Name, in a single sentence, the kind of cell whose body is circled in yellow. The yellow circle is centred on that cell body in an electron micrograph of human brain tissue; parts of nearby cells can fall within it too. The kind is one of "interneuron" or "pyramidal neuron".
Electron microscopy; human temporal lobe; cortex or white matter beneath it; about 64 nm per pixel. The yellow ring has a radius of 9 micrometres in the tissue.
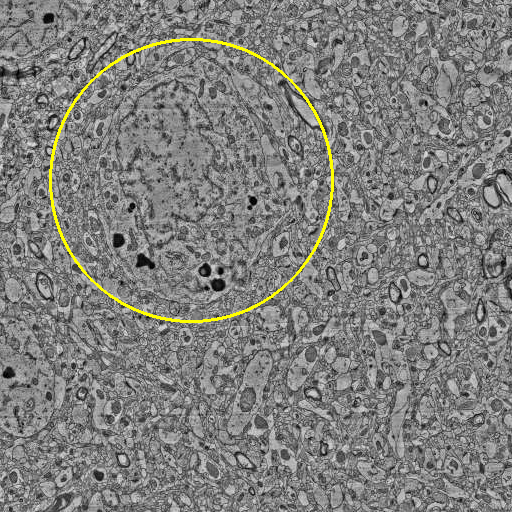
The circled cell body belongs to an interneuron.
